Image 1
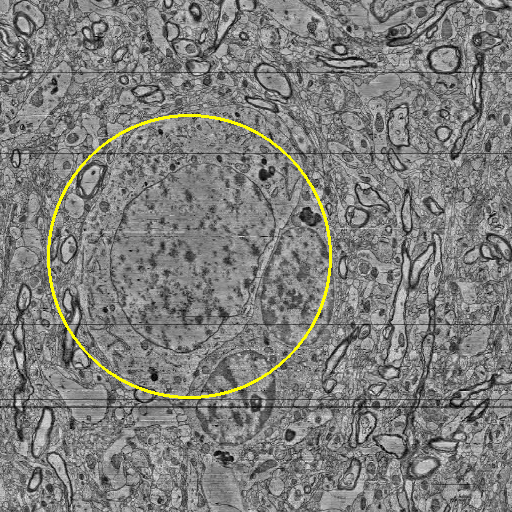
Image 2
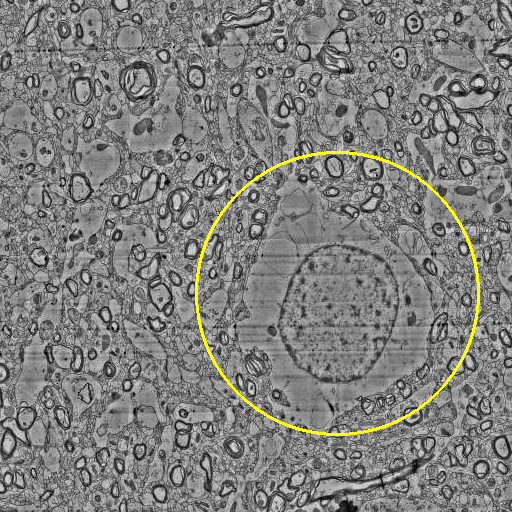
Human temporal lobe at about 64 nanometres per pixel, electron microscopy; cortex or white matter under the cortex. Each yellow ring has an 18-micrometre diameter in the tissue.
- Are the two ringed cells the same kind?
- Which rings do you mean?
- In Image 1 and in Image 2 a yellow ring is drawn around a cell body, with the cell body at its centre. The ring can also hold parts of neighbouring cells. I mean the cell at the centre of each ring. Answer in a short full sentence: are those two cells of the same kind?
No, the cells are of two kinds.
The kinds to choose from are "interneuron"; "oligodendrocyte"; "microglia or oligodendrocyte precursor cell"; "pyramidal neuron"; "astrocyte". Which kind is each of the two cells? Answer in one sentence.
Of the two, the first cell is a pyramidal neuron and the second cell is an astrocyte.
